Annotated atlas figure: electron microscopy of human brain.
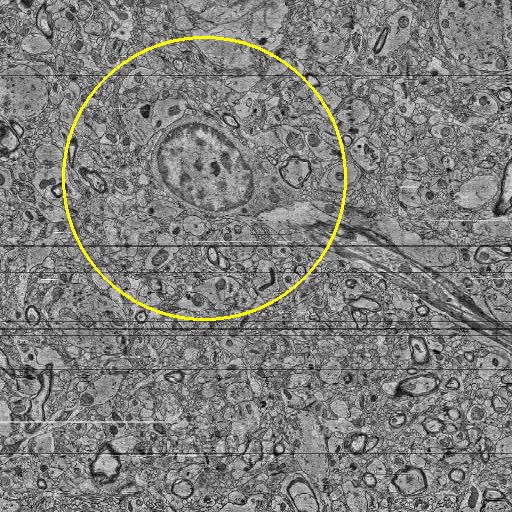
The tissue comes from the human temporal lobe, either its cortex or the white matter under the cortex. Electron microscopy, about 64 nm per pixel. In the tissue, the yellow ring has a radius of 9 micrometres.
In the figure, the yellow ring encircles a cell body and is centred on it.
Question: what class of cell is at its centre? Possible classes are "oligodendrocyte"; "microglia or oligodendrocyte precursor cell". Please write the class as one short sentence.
The yellow ring is drawn around an oligodendrocyte.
